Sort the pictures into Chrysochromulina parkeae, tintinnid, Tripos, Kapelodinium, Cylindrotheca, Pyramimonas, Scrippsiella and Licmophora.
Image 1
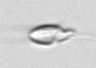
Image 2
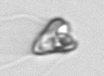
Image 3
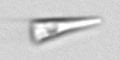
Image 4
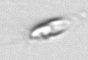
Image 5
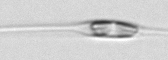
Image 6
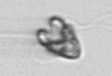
Kapelodinium: 1
Pyramimonas: 2, 6
Licmophora: 3
Chrysochromulina parkeae: 4
Cylindrotheca: 5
